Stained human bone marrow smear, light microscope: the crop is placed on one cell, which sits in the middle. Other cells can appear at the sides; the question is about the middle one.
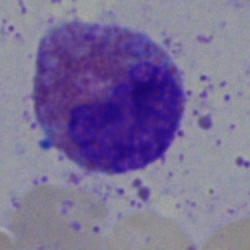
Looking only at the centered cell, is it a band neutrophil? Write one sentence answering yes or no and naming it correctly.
No, it is an eosinophil and not a band neutrophil that occupies the middle of the crop.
